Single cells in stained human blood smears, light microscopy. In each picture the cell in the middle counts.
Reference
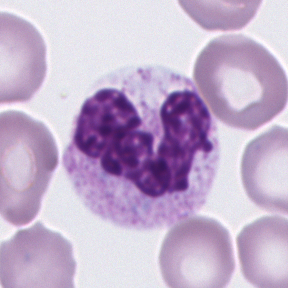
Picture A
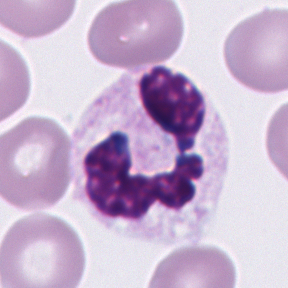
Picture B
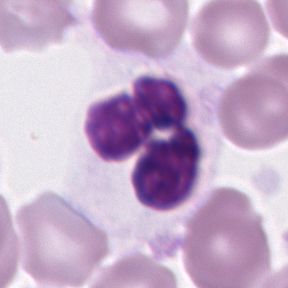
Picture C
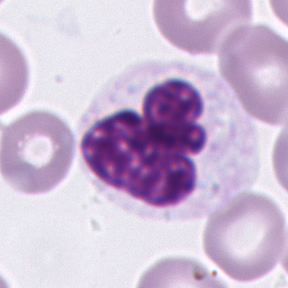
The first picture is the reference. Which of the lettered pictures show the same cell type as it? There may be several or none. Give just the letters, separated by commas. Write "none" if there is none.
A, B, C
